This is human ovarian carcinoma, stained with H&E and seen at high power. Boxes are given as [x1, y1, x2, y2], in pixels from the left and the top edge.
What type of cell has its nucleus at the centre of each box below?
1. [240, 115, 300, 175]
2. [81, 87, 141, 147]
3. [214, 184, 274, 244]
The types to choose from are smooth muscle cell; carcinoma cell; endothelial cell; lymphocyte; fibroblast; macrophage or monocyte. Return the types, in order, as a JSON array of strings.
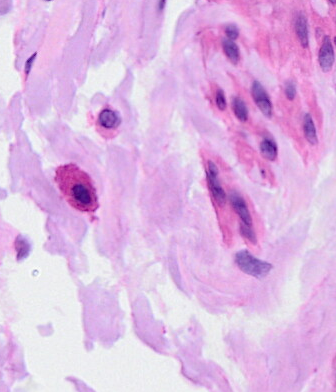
["smooth muscle cell", "macrophage or monocyte", "smooth muscle cell"]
